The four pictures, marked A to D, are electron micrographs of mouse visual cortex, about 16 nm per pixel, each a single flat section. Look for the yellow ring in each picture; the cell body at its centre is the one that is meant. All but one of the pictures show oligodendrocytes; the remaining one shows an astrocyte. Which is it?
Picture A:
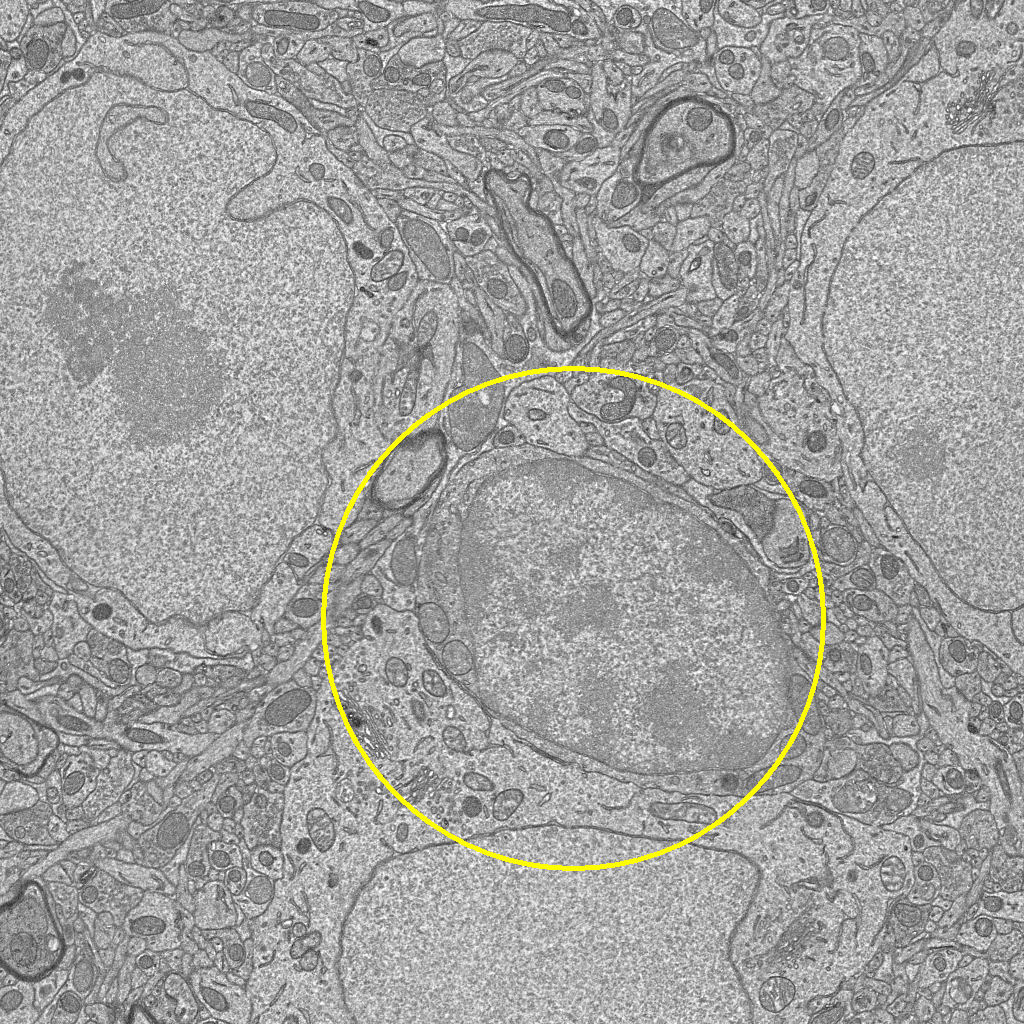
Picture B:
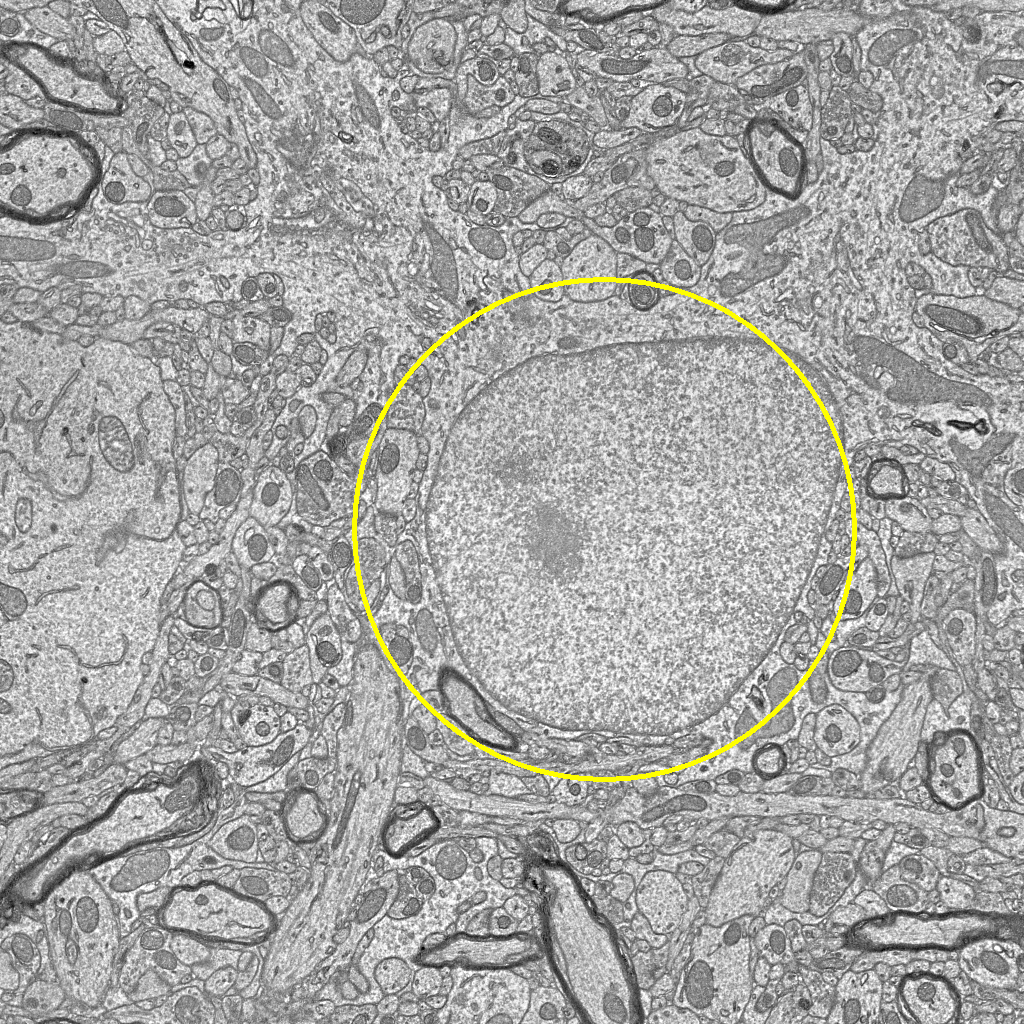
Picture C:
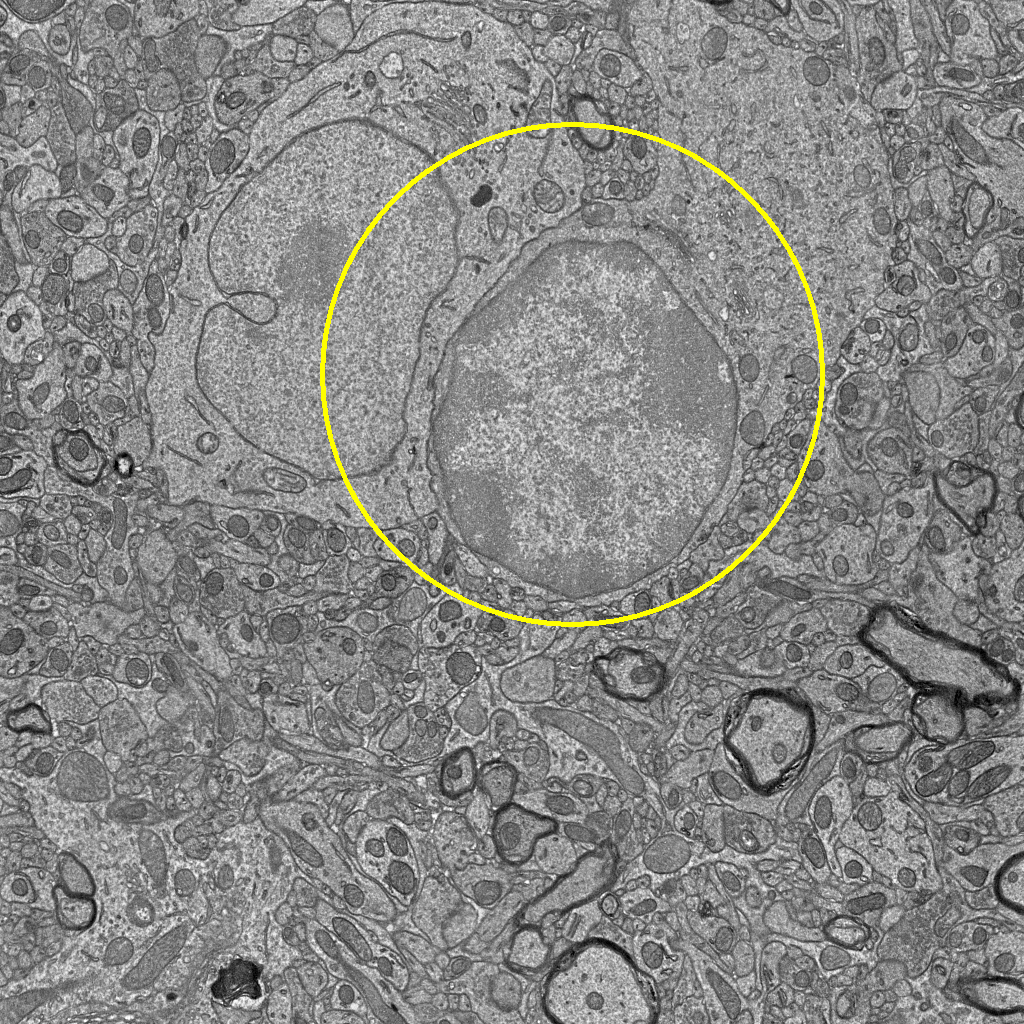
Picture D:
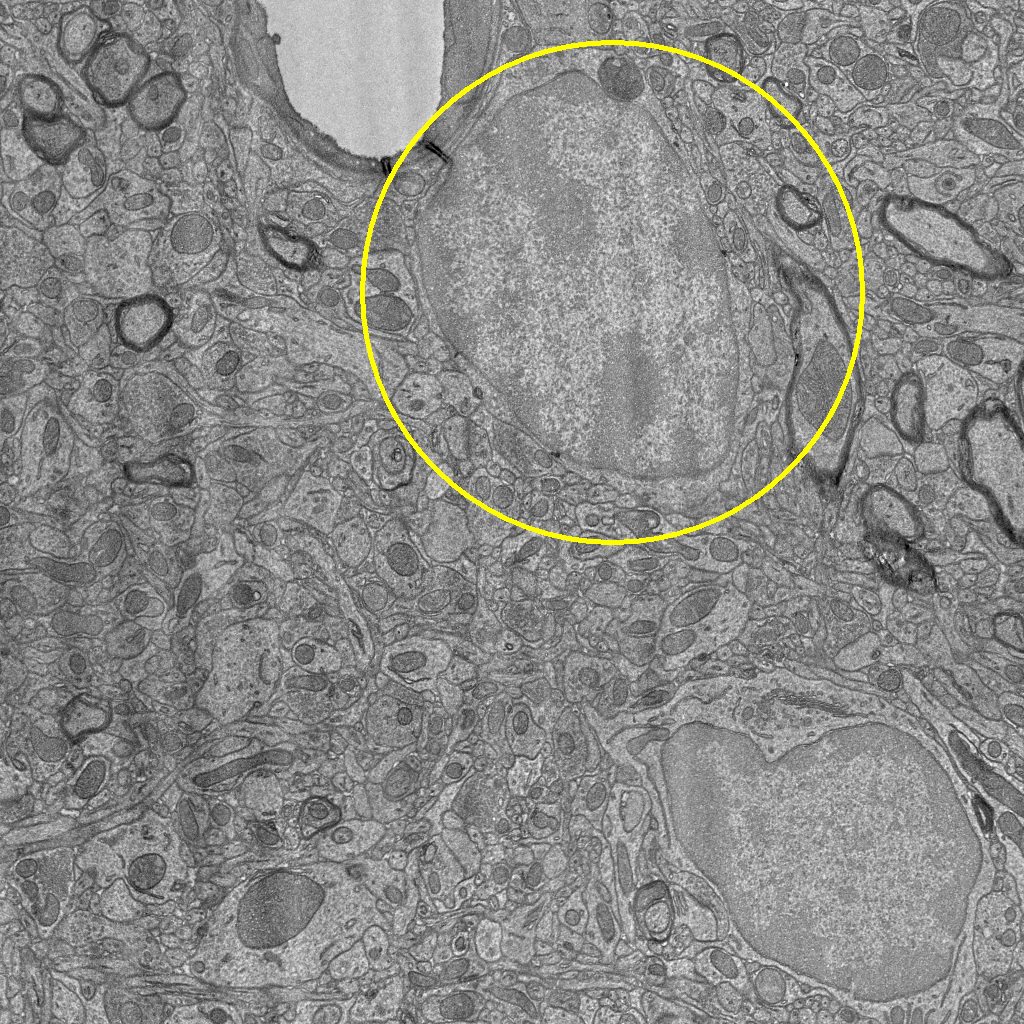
The picture with the astrocyte is B.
